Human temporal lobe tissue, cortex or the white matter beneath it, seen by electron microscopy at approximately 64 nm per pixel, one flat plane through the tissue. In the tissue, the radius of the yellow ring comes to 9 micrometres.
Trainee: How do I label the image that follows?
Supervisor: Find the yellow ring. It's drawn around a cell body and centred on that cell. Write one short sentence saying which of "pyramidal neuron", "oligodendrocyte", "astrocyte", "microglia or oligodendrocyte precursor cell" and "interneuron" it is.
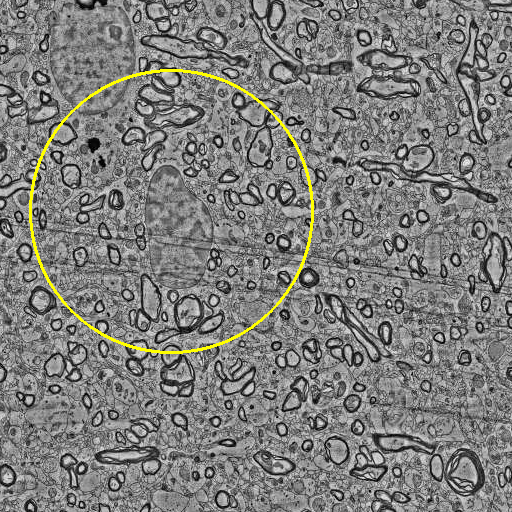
This is the cell body of a microglial cell or oligodendrocyte precursor cell.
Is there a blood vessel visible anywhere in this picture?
No, none shows.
